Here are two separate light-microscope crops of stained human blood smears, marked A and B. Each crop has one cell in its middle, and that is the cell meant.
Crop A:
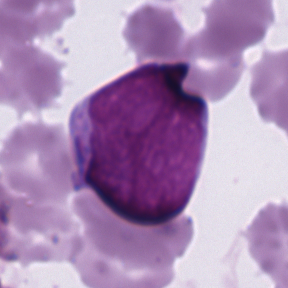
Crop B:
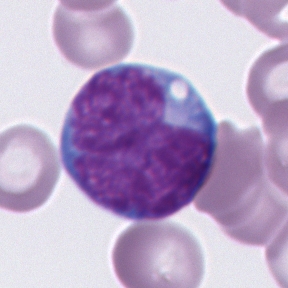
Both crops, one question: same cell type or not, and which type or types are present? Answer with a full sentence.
Yes, the reply for both crops is myeloblasts.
